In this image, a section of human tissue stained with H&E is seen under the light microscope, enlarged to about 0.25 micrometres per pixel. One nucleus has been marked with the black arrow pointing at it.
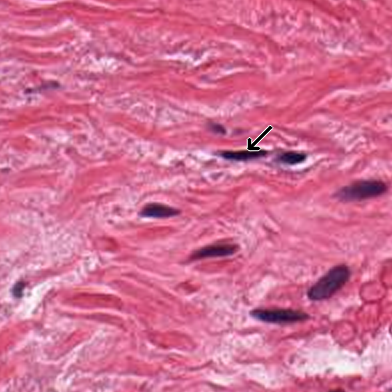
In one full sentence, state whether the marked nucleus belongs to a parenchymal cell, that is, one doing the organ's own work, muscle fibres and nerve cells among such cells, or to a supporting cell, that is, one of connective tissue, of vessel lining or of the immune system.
In this field of view, a supporting cell owns the marked nucleus.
